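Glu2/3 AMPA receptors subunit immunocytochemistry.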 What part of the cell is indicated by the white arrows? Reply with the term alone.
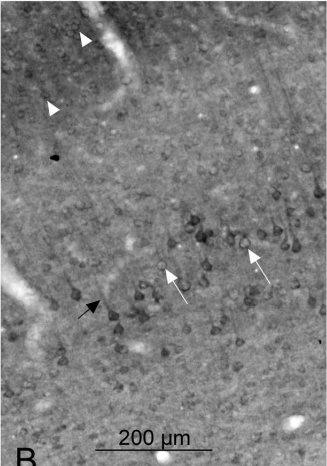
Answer: Cell bodies.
